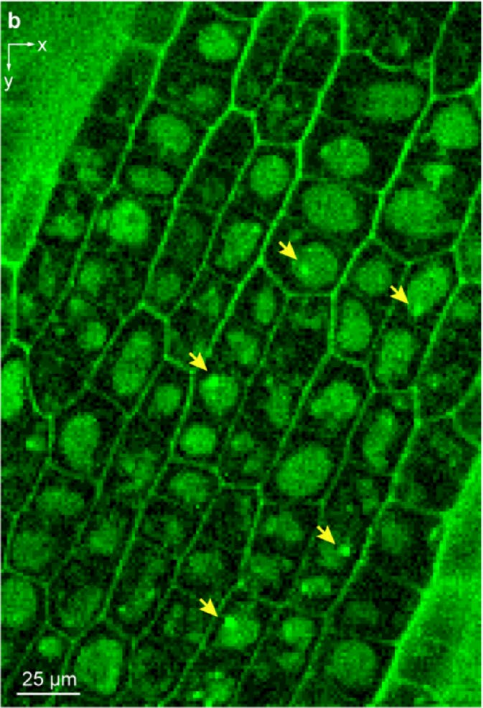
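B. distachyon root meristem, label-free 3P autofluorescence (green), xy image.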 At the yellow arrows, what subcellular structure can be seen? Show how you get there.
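Nucleoli. The yellow arrows point to small bright spots inside cells. The spots sit within larger, rounded, evenly bright regions inside the cells.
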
